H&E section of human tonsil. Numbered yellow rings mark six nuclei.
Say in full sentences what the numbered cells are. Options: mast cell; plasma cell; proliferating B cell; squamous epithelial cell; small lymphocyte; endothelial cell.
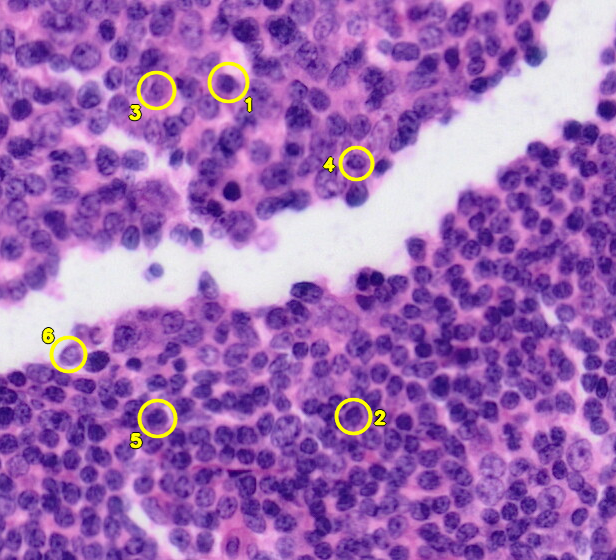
Cell 1 is a proliferating B cell, cell 2 is a small lymphocyte, cell 3 is a proliferating B cell, cell 4 is a proliferating B cell, cell 5 is a small lymphocyte and cell 6 is a proliferating B cell.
